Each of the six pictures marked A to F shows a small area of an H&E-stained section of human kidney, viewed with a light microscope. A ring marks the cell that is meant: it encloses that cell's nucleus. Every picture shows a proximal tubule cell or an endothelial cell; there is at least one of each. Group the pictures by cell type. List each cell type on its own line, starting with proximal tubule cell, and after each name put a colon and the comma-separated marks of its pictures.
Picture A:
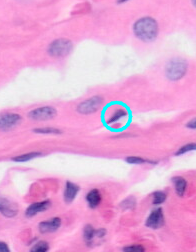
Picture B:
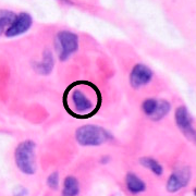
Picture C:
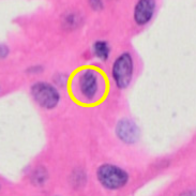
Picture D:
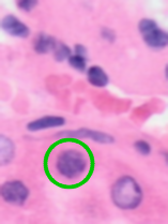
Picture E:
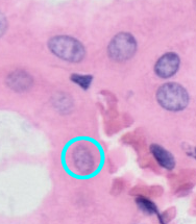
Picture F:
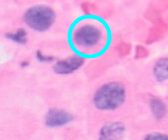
proximal tubule cell: D, E
endothelial cell: A, B, C, F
